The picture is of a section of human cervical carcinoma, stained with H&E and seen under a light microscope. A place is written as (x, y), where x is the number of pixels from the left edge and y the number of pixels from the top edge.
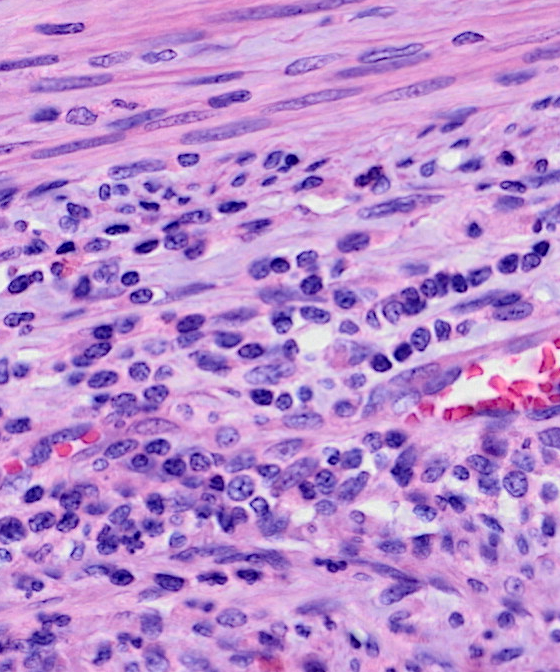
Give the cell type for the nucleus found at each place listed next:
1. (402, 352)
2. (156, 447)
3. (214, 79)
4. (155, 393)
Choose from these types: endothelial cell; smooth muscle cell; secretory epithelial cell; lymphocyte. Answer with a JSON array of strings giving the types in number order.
["lymphocyte", "lymphocyte", "smooth muscle cell", "lymphocyte"]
